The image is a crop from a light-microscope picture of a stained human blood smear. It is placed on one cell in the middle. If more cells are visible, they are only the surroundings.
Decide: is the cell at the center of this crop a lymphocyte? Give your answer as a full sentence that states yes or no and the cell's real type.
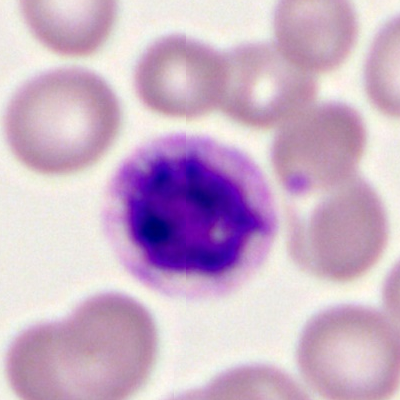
No, the cell of interest here is a basophil and not a lymphocyte.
